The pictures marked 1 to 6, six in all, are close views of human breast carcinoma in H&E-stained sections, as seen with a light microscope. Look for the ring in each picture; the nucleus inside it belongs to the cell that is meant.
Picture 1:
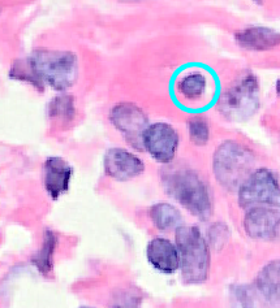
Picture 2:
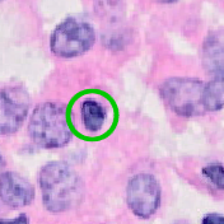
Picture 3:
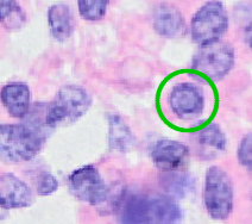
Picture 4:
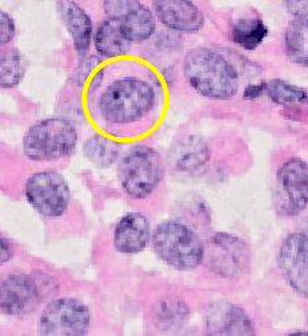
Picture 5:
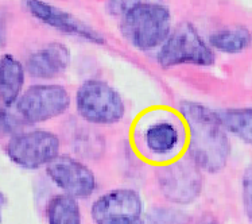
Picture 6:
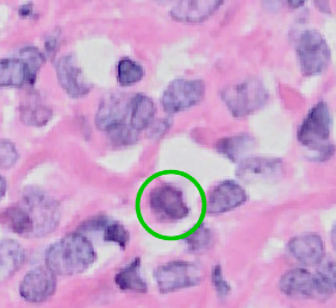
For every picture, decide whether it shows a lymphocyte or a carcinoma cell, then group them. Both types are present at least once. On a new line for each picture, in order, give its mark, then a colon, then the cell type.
1: lymphocyte
2: lymphocyte
3: carcinoma cell
4: carcinoma cell
5: lymphocyte
6: carcinoma cell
